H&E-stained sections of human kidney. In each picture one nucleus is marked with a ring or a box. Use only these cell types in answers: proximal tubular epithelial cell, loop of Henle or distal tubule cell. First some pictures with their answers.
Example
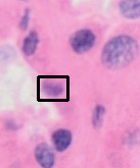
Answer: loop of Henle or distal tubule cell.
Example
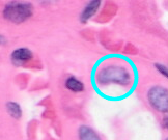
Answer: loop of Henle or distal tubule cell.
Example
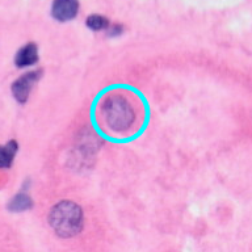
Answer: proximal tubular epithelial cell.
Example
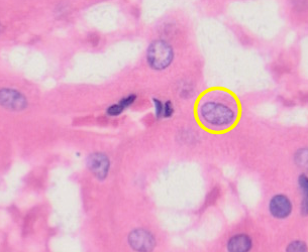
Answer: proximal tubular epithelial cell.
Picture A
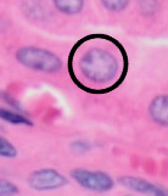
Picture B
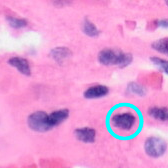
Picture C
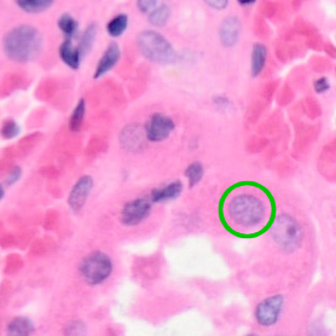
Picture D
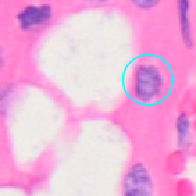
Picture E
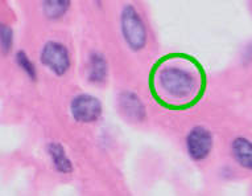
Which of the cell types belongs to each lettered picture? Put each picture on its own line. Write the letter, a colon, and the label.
A: proximal tubular epithelial cell.
B: loop of Henle or distal tubule cell.
C: proximal tubular epithelial cell.
D: loop of Henle or distal tubule cell.
E: loop of Henle or distal tubule cell.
